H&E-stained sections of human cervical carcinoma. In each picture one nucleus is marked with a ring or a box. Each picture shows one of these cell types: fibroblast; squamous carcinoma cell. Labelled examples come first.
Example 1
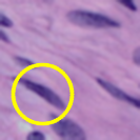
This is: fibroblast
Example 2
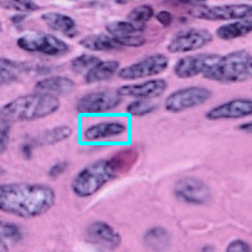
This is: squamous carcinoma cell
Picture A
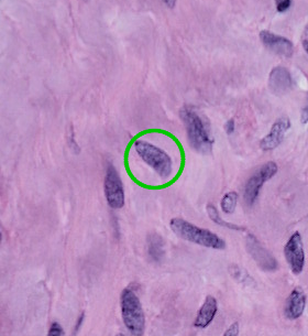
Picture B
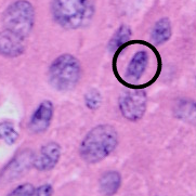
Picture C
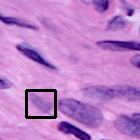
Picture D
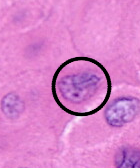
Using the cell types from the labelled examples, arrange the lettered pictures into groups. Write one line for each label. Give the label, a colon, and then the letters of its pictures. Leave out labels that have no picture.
fibroblast: A, C
squamous carcinoma cell: B, D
